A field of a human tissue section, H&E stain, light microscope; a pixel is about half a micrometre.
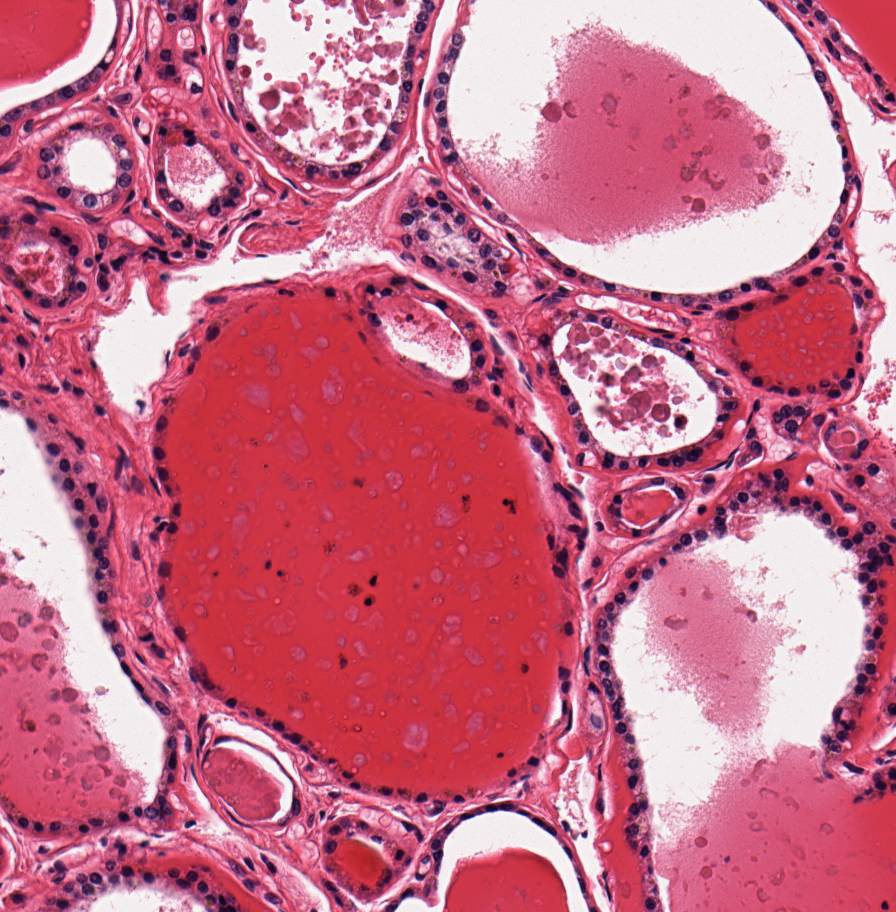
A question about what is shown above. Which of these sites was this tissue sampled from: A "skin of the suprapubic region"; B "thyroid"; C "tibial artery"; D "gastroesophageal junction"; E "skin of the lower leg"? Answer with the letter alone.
B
